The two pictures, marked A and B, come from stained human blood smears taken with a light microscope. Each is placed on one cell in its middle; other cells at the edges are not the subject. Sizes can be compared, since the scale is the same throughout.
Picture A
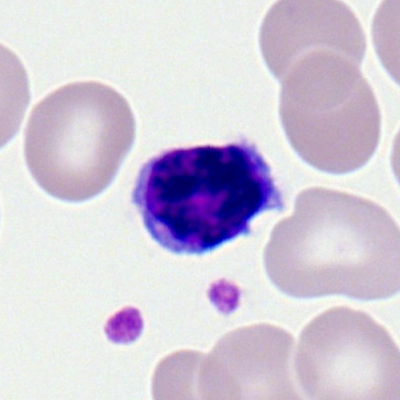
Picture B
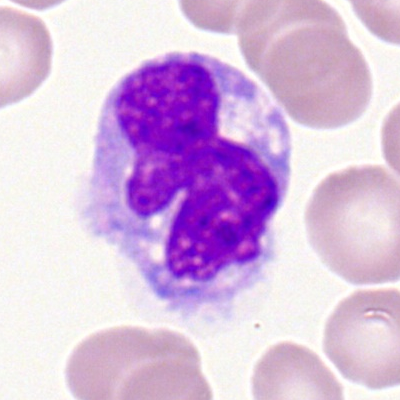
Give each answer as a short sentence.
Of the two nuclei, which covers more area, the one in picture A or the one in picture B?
The nucleus in picture B is larger, with about 2 times the area of the one in picture A.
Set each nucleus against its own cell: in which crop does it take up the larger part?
The nucleus fills more of the cell in picture A than in picture B.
